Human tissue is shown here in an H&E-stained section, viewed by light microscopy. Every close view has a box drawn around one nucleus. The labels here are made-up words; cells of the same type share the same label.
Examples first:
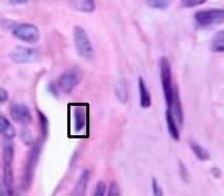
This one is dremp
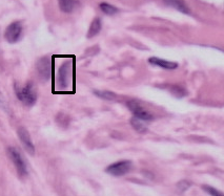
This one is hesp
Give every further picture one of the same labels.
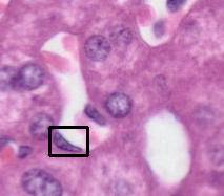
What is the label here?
dremp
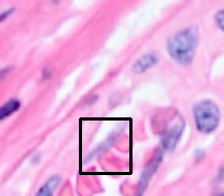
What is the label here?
dremp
